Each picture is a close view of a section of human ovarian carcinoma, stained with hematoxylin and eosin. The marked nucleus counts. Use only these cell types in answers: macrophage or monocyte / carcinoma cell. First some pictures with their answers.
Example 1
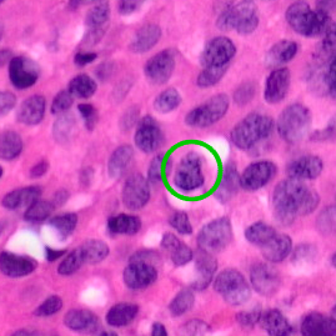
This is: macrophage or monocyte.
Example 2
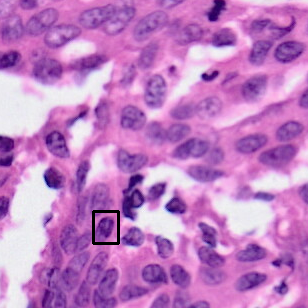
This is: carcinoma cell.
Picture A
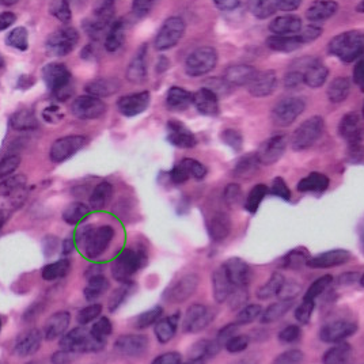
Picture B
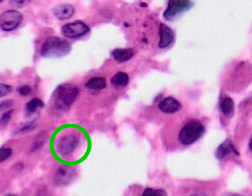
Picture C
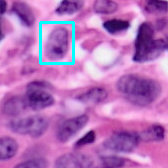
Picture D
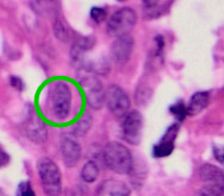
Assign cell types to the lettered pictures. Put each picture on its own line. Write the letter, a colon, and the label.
A: carcinoma cell.
B: macrophage or monocyte.
C: macrophage or monocyte.
D: macrophage or monocyte.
